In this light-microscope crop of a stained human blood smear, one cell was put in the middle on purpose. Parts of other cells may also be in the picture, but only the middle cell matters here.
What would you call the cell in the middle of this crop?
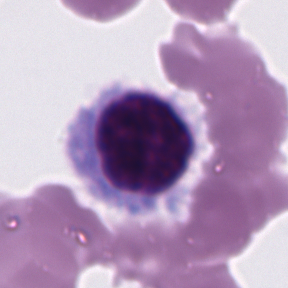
hairy cell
